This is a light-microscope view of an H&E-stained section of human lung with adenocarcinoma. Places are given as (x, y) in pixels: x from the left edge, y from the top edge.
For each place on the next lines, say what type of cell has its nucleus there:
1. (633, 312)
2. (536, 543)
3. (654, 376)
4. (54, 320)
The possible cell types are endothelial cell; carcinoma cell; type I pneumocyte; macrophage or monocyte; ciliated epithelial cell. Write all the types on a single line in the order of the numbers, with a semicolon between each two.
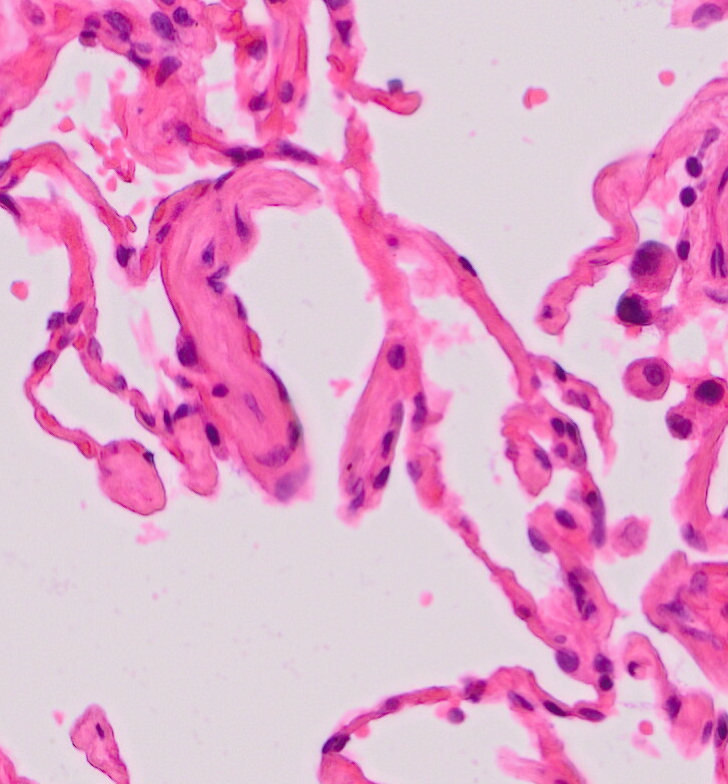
carcinoma cell; type I pneumocyte; macrophage or monocyte; type I pneumocyte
